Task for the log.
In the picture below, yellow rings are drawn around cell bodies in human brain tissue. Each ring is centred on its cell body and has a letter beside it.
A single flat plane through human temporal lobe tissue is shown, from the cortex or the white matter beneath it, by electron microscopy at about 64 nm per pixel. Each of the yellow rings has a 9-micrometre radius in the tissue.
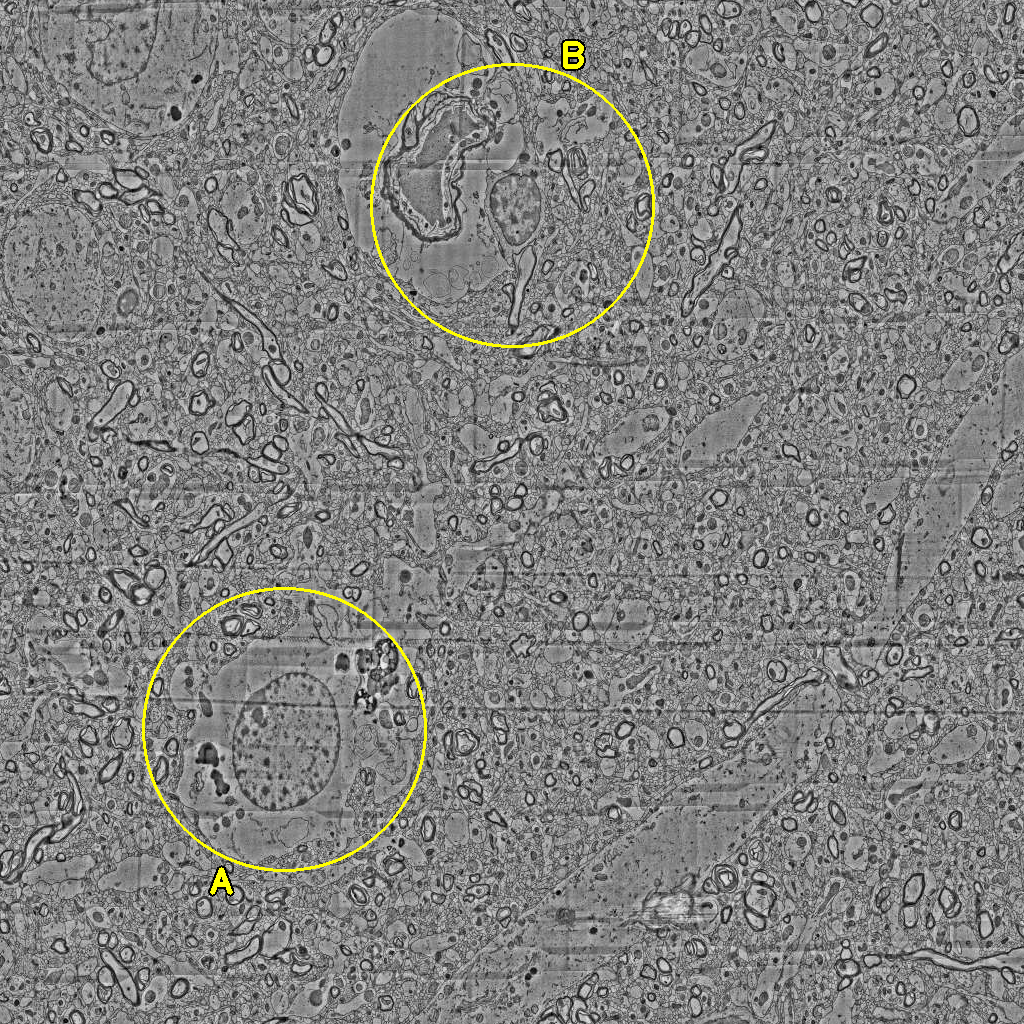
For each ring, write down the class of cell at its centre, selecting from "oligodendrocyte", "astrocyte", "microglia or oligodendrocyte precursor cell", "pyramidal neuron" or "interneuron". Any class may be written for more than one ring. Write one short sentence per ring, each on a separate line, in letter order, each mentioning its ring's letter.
The cell inside ring A, at its centre, is an astrocyte.
The cell inside ring B, at its centre, is an oligodendrocyte.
